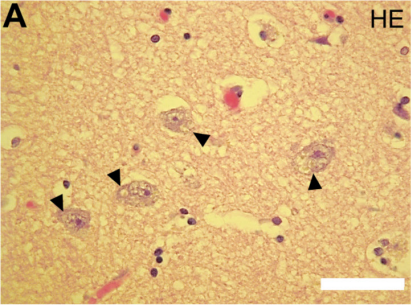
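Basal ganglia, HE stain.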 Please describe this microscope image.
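Here we are in deep grey matter of the brain, looking at several large neurons scattered through pink neuropil. Look at their cytoplasm: instead of being smooth and evenly purple, it is packed with many small clear round holes, so each cell body looks bubbly or foamy. The neuropil itself looks finely porous. Small vessels run through the field, some holding bright red blood cells.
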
